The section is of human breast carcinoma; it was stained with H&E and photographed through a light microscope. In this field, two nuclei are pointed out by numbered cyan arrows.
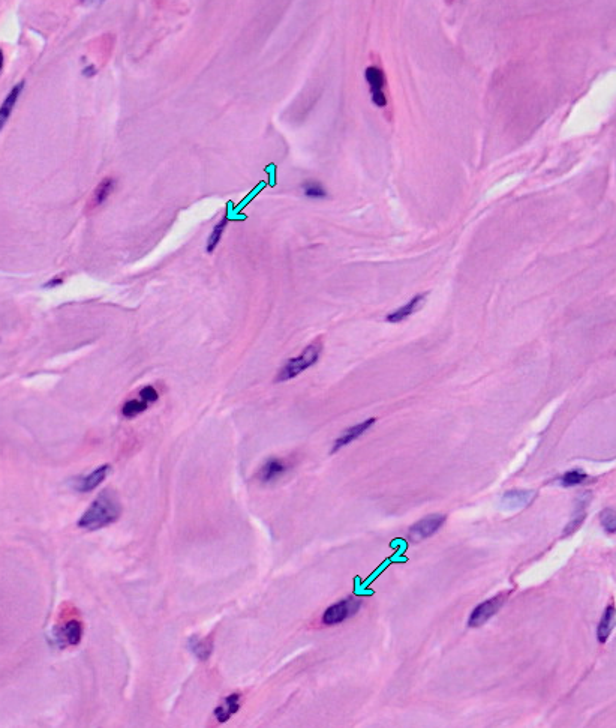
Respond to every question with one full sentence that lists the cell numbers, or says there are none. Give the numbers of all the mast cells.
Only one choice fits: cell 2 is a mast cell, and no other.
